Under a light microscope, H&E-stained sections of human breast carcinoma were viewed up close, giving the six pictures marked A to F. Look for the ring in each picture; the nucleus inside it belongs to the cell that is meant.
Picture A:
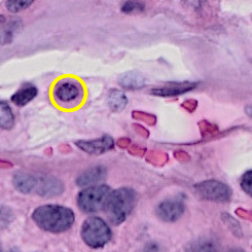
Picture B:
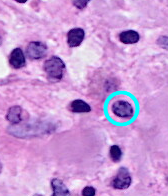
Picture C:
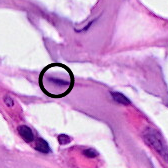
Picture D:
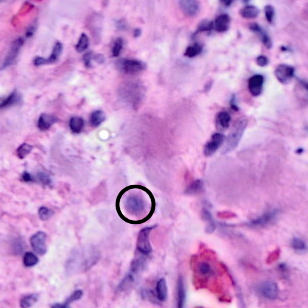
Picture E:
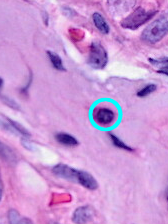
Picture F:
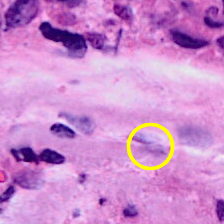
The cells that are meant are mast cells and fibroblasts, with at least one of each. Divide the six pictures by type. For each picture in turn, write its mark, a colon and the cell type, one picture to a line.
A: mast cell
B: mast cell
C: fibroblast
D: mast cell
E: mast cell
F: fibroblast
